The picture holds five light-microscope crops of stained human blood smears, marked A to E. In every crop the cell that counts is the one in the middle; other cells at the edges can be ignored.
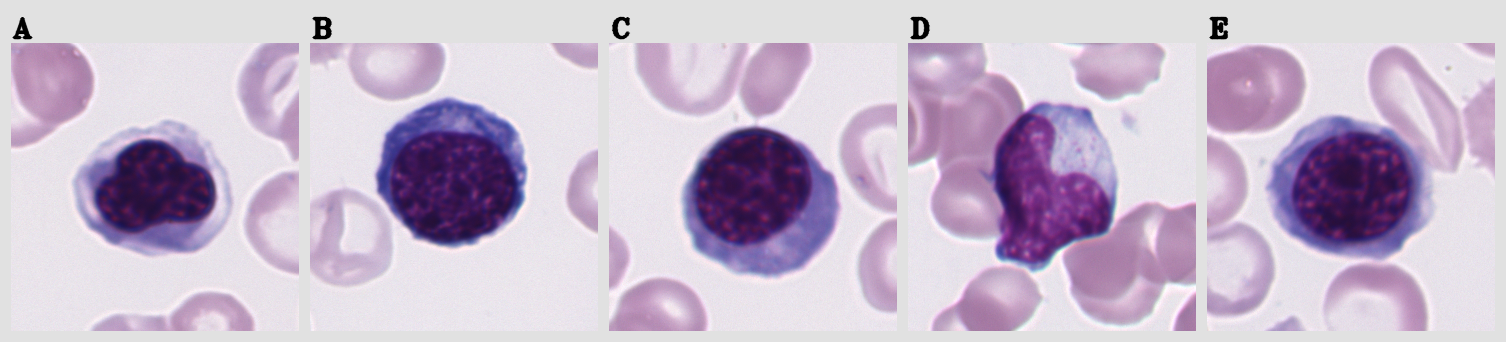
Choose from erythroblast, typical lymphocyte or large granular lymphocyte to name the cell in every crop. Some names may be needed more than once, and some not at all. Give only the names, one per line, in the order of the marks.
erythroblast
erythroblast
erythroblast
large granular lymphocyte
erythroblast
